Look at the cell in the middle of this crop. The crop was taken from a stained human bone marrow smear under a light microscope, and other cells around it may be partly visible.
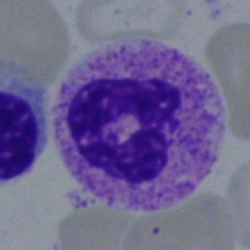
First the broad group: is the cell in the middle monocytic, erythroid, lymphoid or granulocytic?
granulocytic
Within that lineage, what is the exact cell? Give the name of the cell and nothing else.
segmented neutrophil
